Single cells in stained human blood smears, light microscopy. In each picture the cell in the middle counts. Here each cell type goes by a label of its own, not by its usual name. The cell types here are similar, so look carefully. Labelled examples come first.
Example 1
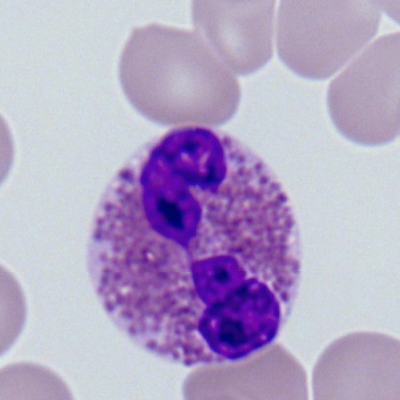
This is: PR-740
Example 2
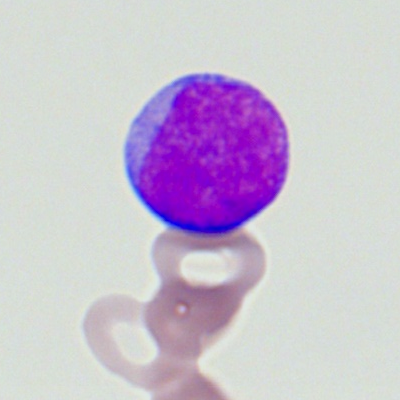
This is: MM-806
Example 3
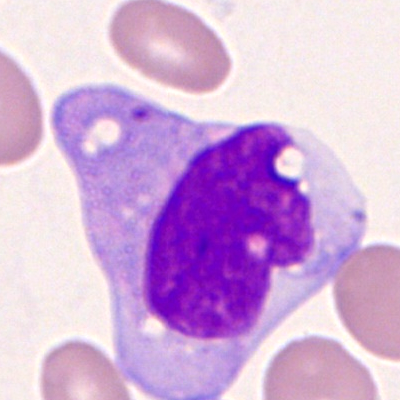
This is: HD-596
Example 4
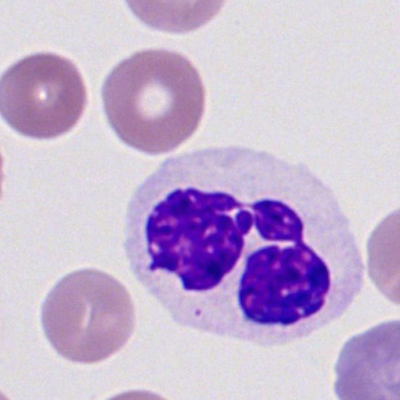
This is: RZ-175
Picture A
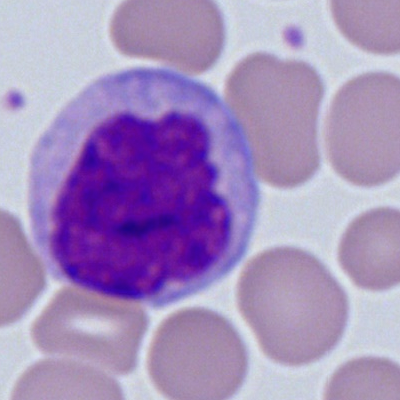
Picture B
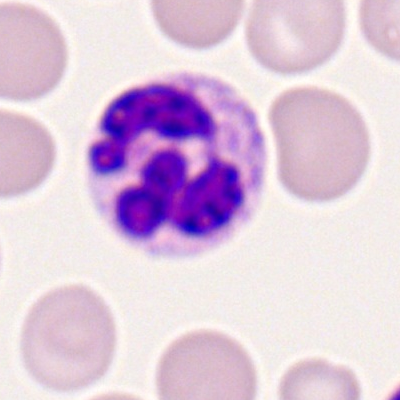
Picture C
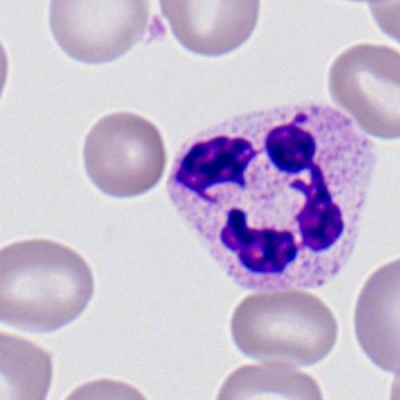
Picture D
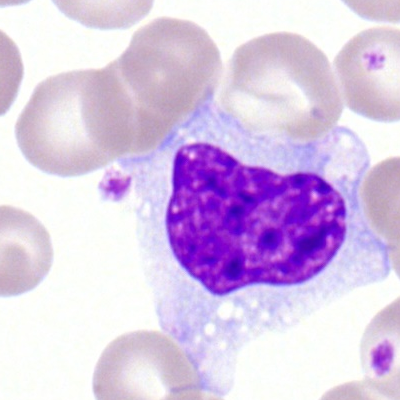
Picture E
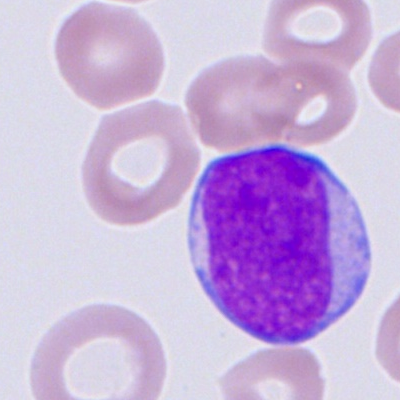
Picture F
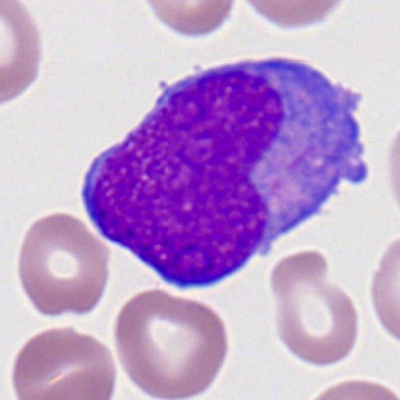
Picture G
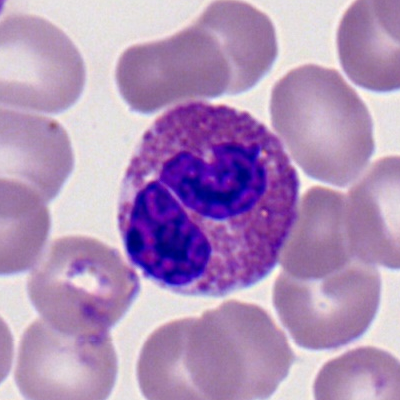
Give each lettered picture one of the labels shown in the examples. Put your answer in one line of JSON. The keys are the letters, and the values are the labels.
{"A": "HD-596", "B": "RZ-175", "C": "RZ-175", "D": "HD-596", "E": "MM-806", "F": "MM-806", "G": "PR-740"}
